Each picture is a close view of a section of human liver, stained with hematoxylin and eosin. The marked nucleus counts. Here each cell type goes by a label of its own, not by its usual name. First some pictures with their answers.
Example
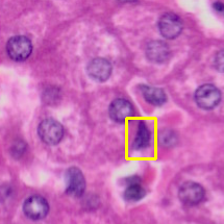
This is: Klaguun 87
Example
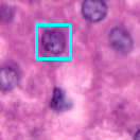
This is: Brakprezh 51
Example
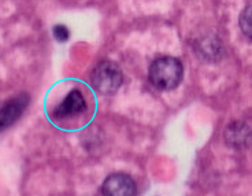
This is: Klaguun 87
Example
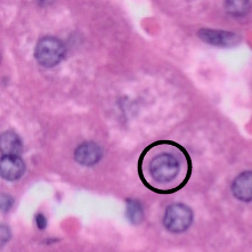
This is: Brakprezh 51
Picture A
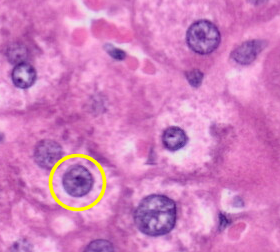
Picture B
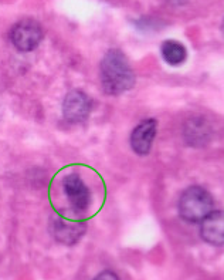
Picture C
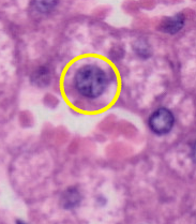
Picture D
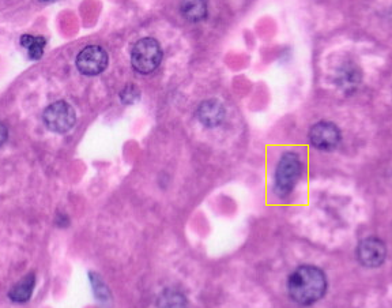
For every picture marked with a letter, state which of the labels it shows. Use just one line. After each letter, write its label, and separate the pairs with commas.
A Brakprezh 51, B Klaguun 87, C Brakprezh 51, D Klaguun 87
